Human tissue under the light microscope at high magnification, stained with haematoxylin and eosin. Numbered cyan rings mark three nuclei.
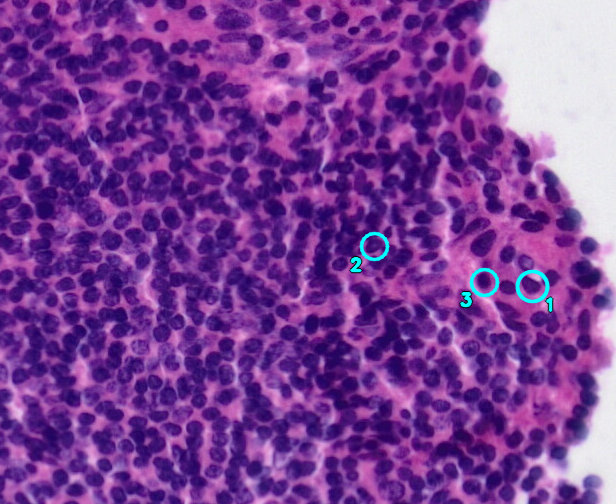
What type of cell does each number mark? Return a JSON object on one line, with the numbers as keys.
{"1": "plasma cell", "2": "small lymphocyte", "3": "plasma cell"}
